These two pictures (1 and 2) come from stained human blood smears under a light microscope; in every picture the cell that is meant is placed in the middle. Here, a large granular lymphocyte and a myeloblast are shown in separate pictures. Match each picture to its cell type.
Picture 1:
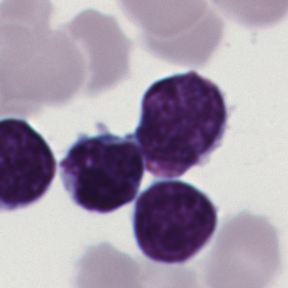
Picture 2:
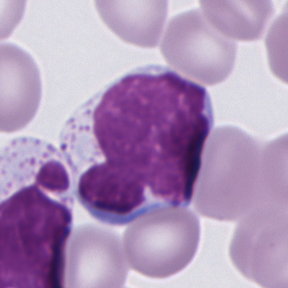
1: myeloblast
2: large granular lymphocyte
